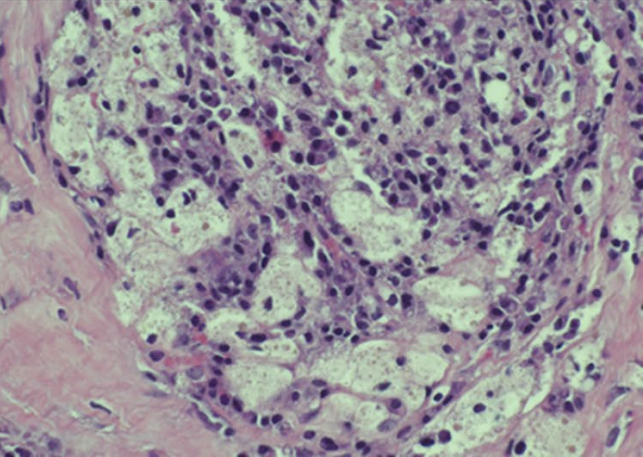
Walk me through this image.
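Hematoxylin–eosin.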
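Here a nest of inflammatory cells is surrounded by pink fibrous tissue, and within it are clusters of large cells with pale, foamy, finely vacuolated cytoplasm. These pale cells are macrophages laden with lipid, known as foam cells. Small dark round and elongated nuclei of other inflammatory and stromal cells lie between the foamy clusters. A few red blood cells are scattered in the nest. The picture is a focal collection of foam cells within the inflammatory reaction.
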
